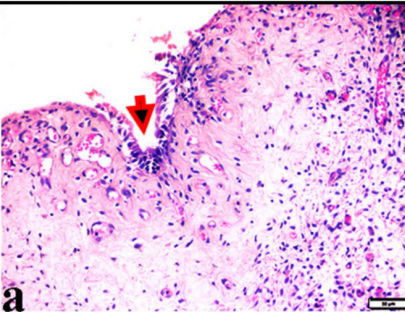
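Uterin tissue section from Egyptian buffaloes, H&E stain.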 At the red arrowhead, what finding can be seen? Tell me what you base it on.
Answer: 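The surface epithelium at the arrowhead is disrupted, with crowded dark nuclei. Neighbouring parts of the surface lack a continuous cell layer. That points to this answer: degeneration and desquamation of the epithelium lining endometrium.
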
